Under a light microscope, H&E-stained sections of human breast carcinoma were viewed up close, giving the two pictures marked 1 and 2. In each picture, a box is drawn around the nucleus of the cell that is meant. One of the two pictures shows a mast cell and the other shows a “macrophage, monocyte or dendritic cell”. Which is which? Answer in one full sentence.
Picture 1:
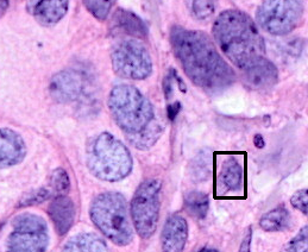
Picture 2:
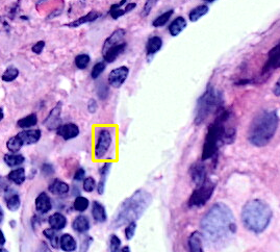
It is picture 1 that shows a “macrophage, monocyte or dendritic cell”, and picture 2 that shows a mast cell.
